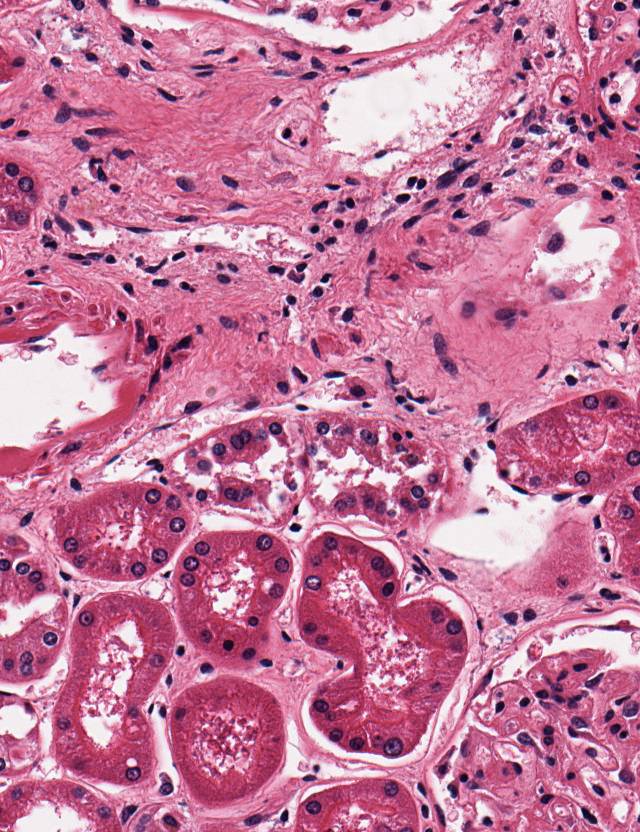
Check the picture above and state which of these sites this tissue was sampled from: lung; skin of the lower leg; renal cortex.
renal cortex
